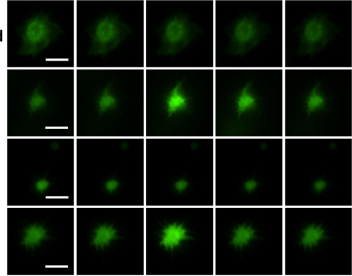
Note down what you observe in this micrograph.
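Some appear as compact, roughly rounded bodies, while others are spread out, with short pointed projections radiating from a brighter centre. The green fluorescence fills the whole cell body. In some rows the brightness rises to a peak in the middle frames and then fades again. In other rows it stays dim and fairly even throughout.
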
